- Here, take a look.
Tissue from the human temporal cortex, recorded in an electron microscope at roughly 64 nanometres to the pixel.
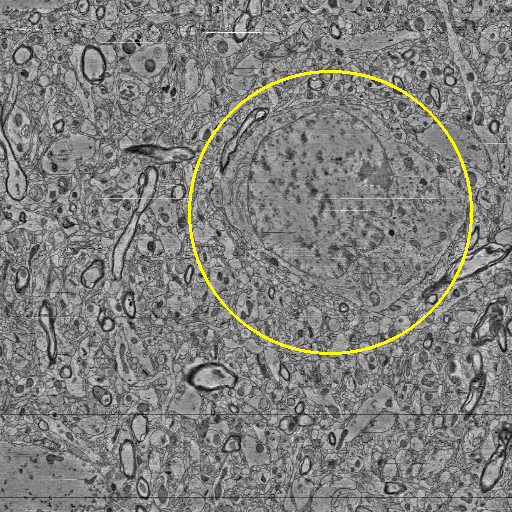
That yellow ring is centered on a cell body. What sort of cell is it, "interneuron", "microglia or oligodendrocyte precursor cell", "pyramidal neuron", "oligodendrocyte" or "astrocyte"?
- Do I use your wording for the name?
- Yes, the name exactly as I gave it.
interneuron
